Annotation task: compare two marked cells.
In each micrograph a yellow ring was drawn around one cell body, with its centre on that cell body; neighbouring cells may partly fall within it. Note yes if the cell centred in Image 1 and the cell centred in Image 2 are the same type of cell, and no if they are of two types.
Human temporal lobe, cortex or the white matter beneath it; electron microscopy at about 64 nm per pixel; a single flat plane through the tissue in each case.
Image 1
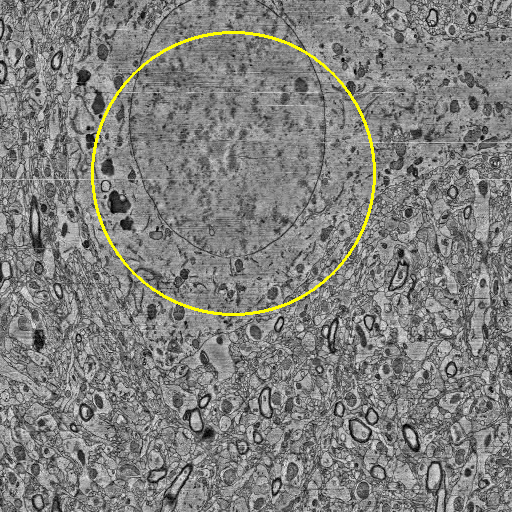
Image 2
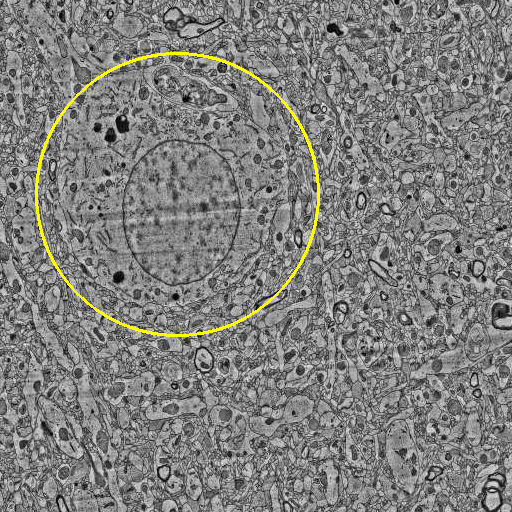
yes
